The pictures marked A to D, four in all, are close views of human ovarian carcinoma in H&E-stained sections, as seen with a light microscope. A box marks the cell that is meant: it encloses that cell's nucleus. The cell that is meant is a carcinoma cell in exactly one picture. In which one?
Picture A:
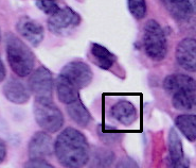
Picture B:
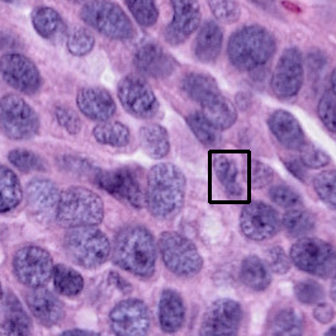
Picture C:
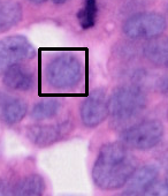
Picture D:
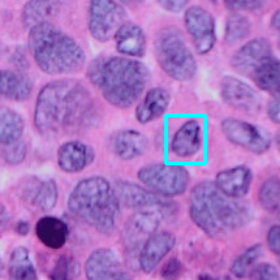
C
